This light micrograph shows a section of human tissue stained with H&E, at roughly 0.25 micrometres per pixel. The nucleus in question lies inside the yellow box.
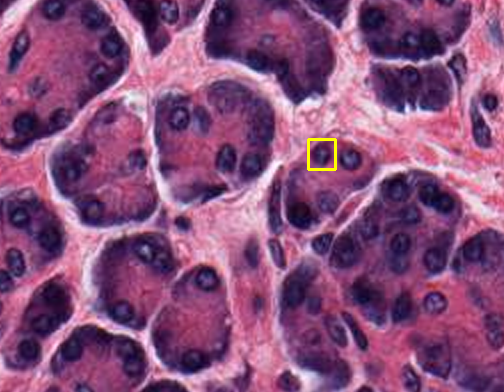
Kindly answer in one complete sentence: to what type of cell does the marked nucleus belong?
The nucleus marked in the section is that of a pancreatic acinar cell.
